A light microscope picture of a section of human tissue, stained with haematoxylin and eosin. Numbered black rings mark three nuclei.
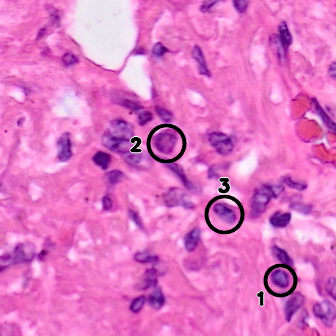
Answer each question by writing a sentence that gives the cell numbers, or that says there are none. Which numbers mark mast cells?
The cells tagged with numbers 1 and 3 are mast cells.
